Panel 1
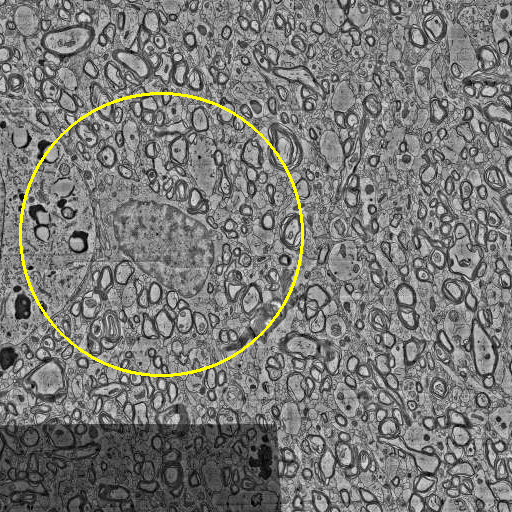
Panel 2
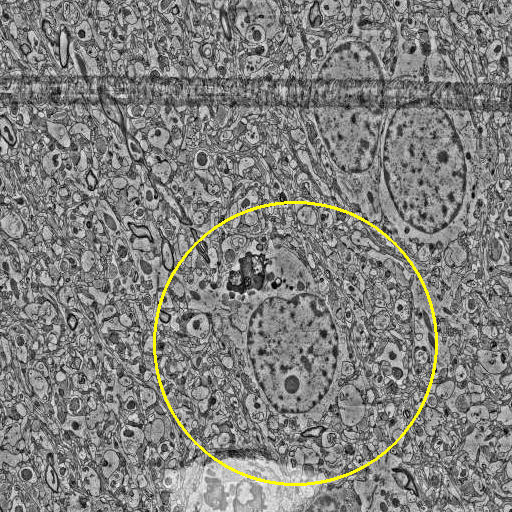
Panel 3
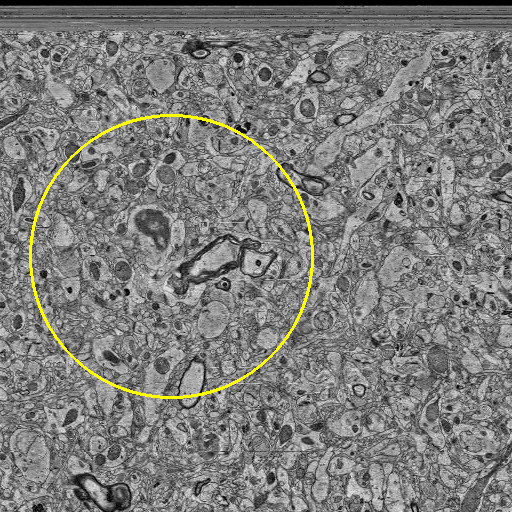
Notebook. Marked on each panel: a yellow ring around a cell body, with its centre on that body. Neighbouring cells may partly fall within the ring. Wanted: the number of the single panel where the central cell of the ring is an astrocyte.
2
